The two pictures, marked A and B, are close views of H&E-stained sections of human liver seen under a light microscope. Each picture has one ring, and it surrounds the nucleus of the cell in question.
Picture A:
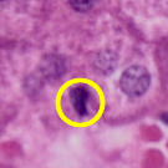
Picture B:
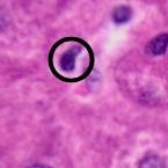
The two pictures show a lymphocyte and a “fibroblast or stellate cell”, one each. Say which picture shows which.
A: fibroblast or stellate cell
B: lymphocyte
